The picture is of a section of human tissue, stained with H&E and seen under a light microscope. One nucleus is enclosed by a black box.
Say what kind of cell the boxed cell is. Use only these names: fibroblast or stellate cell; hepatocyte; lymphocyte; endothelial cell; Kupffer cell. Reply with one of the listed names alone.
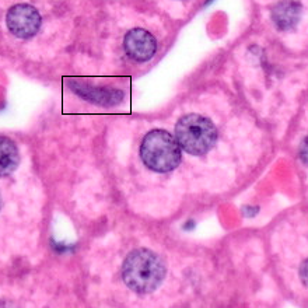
Kupffer cell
